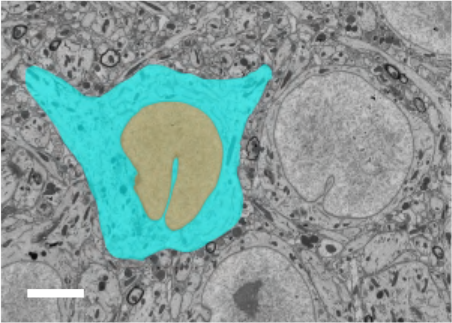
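A cell body with an angular, roughly triangular outline is tinted cyan, with tapering processes leaving from its upper corners. Within it sits a tan-tinted nucleus with a deep narrow cleft running into it from below. The cytoplasm around the nucleus is broad compared with the nucleus itself. To the right and below lie large pale nuclei of neighbouring cells, and the surrounding neuropil holds small dark ring-shaped axon profiles.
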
